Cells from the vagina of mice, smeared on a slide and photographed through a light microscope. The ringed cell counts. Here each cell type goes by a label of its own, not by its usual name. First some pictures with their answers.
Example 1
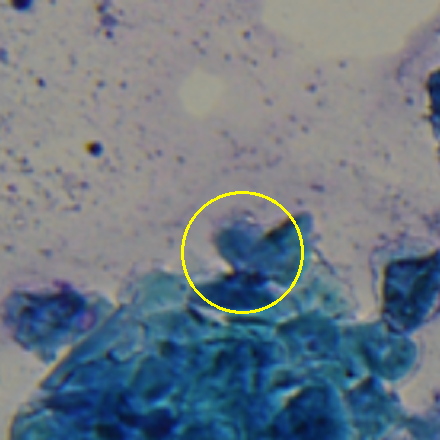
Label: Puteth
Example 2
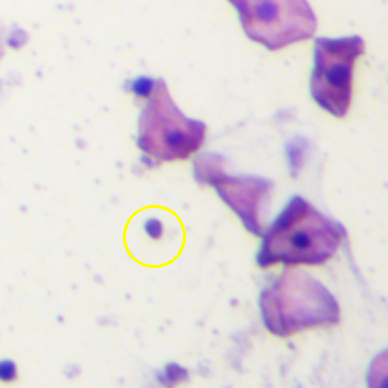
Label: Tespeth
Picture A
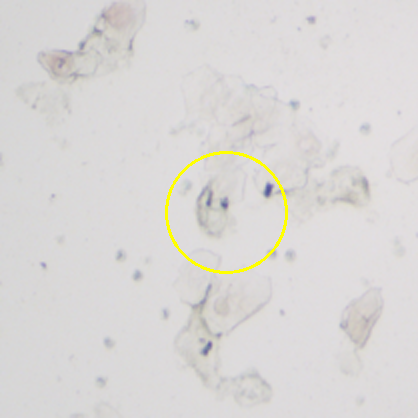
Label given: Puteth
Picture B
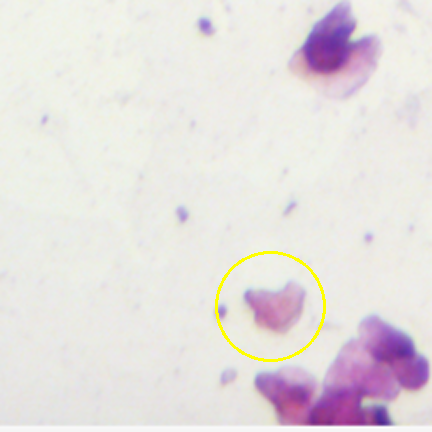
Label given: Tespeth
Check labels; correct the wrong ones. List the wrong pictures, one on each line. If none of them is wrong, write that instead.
B should be Puteth, not Tespeth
